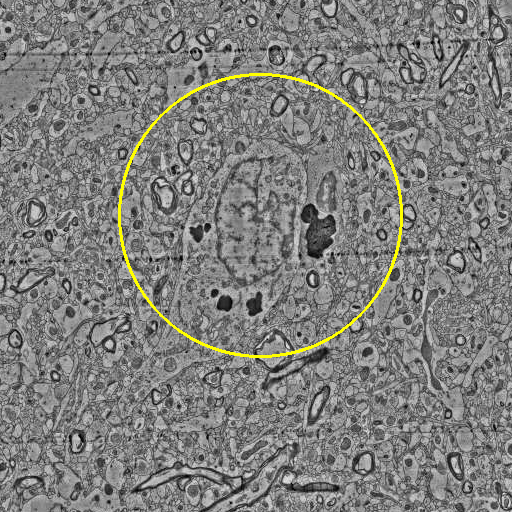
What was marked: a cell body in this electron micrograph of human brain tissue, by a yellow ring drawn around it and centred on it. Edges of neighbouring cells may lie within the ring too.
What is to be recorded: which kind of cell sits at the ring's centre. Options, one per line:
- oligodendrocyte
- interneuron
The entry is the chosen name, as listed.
interneuron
